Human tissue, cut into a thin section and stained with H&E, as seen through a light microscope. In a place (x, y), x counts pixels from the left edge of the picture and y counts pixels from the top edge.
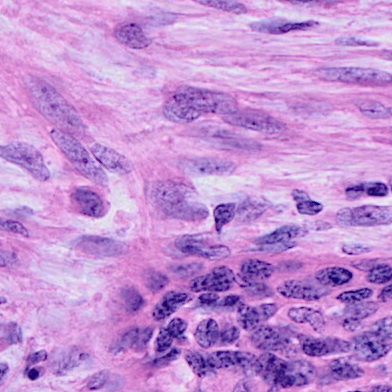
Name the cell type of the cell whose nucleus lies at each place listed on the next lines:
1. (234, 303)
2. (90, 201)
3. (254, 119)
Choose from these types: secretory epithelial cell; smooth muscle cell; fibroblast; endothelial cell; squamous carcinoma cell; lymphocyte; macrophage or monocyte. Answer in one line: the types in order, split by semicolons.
squamous carcinoma cell; macrophage or monocyte; fibroblast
